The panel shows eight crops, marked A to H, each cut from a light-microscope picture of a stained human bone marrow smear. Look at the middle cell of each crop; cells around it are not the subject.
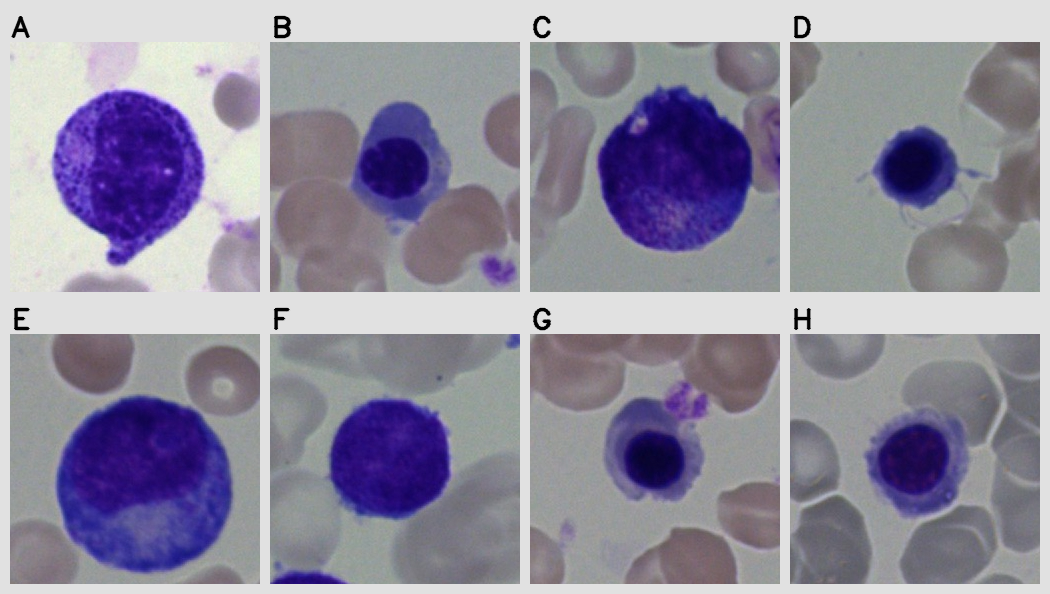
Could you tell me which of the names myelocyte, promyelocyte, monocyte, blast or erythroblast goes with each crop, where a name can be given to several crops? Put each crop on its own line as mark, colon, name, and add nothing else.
A: promyelocyte
B: erythroblast
C: promyelocyte
D: erythroblast
E: promyelocyte
F: blast
G: erythroblast
H: erythroblast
